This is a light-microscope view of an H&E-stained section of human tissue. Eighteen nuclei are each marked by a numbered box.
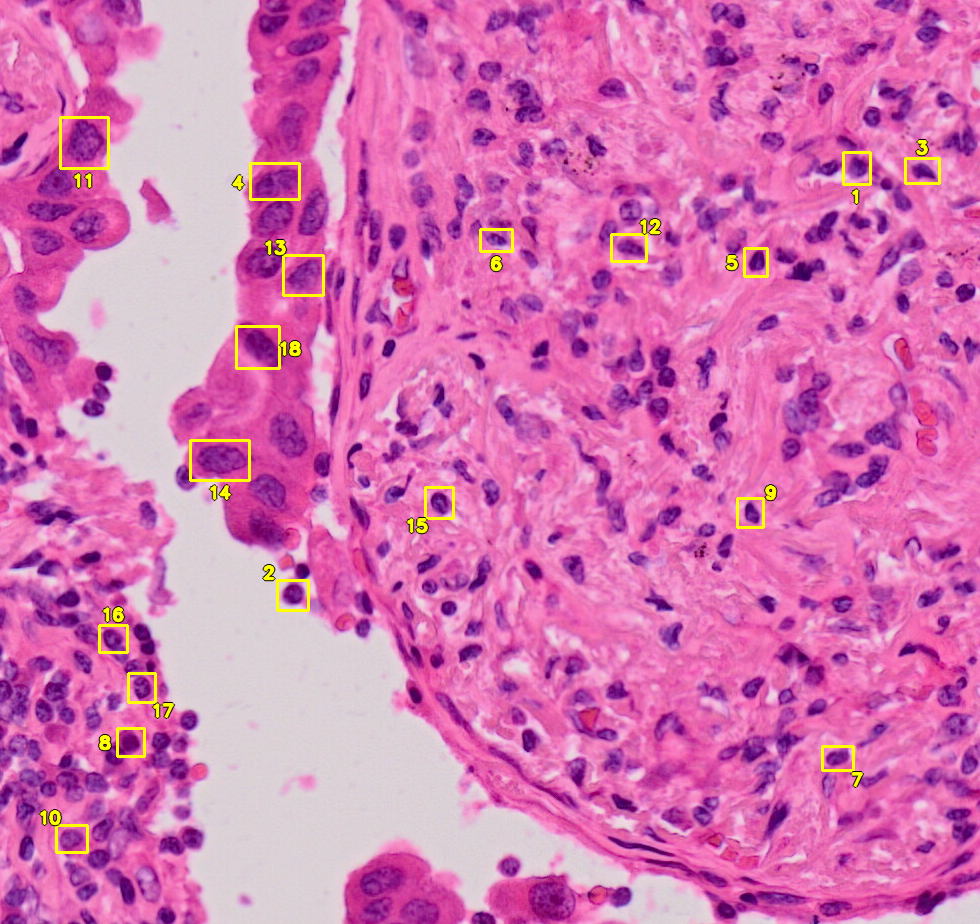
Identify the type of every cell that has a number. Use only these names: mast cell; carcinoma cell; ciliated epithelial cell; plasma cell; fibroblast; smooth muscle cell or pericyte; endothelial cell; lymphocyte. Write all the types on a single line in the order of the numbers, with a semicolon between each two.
lymphocyte; lymphocyte; lymphocyte; carcinoma cell; lymphocyte; lymphocyte; lymphocyte; plasma cell; lymphocyte; plasma cell; carcinoma cell; plasma cell; carcinoma cell; carcinoma cell; lymphocyte; lymphocyte; lymphocyte; carcinoma cell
